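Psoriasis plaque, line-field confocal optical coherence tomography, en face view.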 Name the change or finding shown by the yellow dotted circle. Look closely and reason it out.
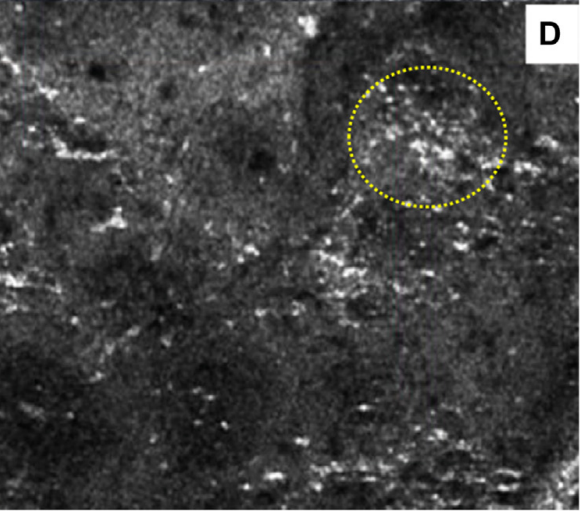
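Clusters of small bright cells. The circle encloses a group of small bright dots.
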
